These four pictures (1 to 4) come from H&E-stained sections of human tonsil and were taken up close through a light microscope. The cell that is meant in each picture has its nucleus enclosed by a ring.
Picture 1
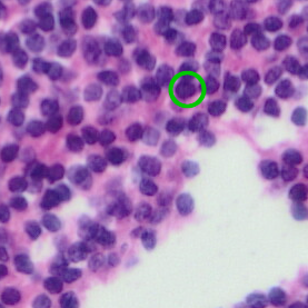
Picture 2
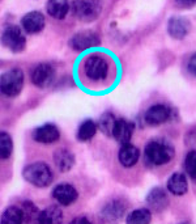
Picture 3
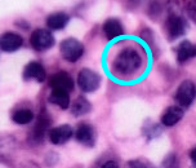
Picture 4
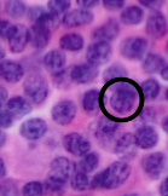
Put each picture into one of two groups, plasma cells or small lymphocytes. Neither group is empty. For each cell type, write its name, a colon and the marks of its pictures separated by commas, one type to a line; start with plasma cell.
plasma cell: 2, 3
small lymphocyte: 1, 4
